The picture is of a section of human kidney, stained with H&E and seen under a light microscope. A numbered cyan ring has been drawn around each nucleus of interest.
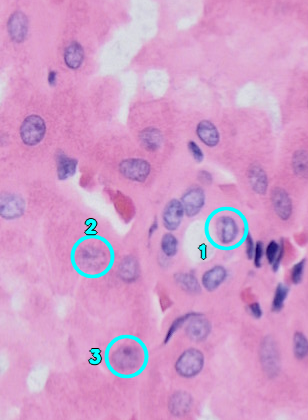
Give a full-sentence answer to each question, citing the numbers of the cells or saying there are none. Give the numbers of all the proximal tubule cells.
The cells identified by the numbers 2 and 3 are proximal tubule cells.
